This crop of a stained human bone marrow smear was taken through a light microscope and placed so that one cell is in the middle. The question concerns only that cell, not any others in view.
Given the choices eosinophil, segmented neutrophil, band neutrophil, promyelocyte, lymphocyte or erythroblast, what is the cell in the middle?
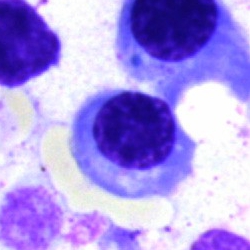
erythroblast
